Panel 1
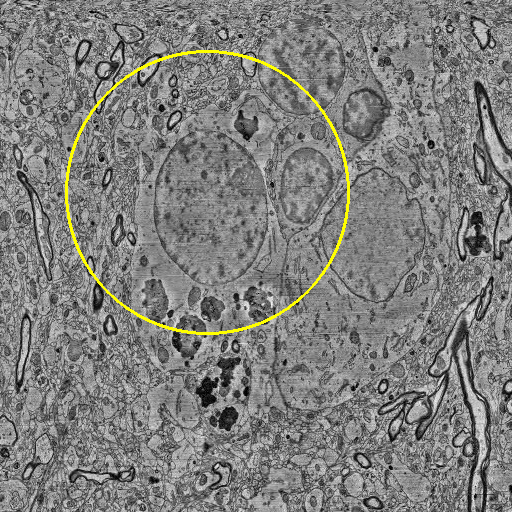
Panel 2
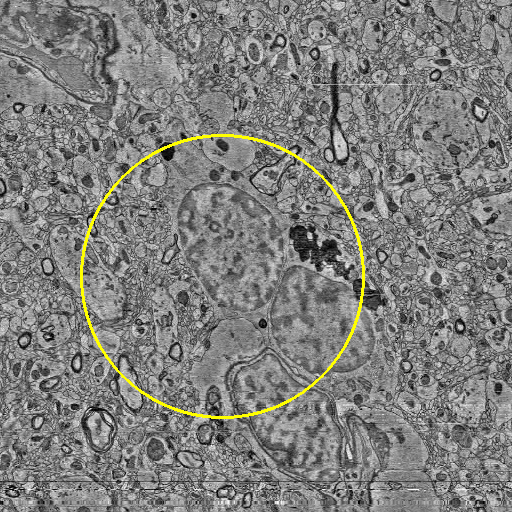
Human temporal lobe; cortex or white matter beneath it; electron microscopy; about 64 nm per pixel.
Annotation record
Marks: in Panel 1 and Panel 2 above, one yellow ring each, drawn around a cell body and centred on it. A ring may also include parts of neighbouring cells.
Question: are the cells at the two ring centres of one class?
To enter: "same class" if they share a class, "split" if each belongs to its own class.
split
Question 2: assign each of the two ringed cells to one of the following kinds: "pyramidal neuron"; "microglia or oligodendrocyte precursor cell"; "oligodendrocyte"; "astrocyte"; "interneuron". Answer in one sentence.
The two cells are an astrocyte in the first picture and an oligodendrocyte in the second.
